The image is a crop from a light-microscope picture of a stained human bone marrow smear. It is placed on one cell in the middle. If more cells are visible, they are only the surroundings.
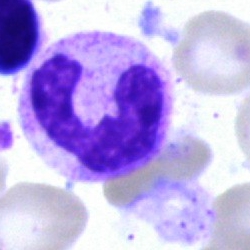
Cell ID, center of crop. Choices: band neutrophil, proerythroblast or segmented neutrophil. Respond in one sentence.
In the middle of this smear crop is a segmented neutrophil.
